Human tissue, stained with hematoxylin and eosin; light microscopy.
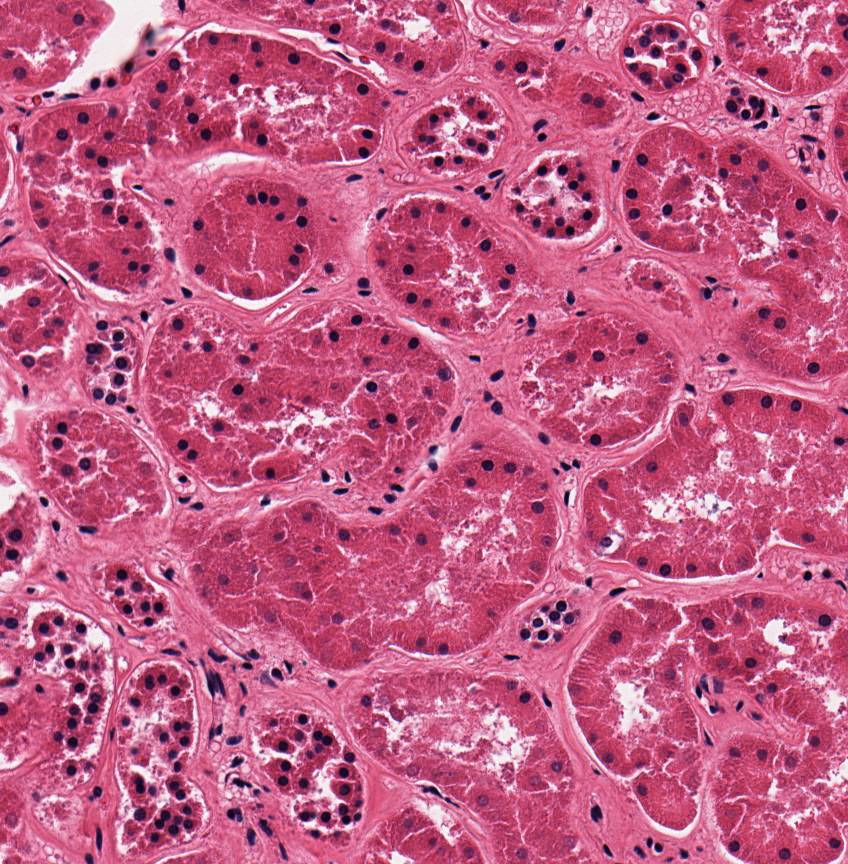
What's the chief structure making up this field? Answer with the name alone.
cortical labyrinth of the kidney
